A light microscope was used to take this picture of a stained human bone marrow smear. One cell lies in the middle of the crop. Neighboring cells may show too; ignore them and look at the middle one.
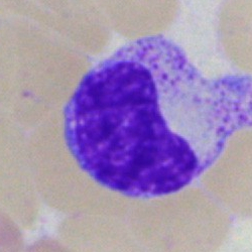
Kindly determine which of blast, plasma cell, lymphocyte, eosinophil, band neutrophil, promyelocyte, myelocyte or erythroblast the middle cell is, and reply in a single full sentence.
The middle cell in this particular crop is a myelocyte.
